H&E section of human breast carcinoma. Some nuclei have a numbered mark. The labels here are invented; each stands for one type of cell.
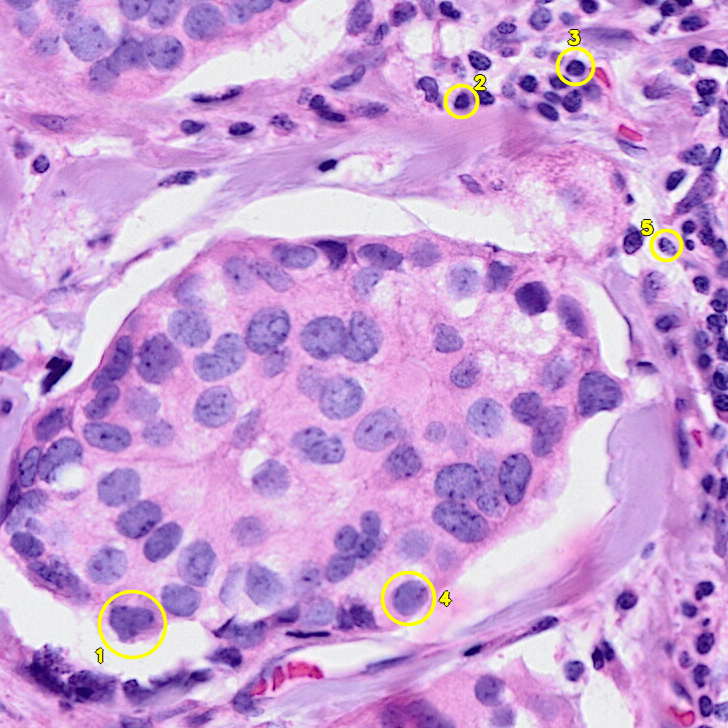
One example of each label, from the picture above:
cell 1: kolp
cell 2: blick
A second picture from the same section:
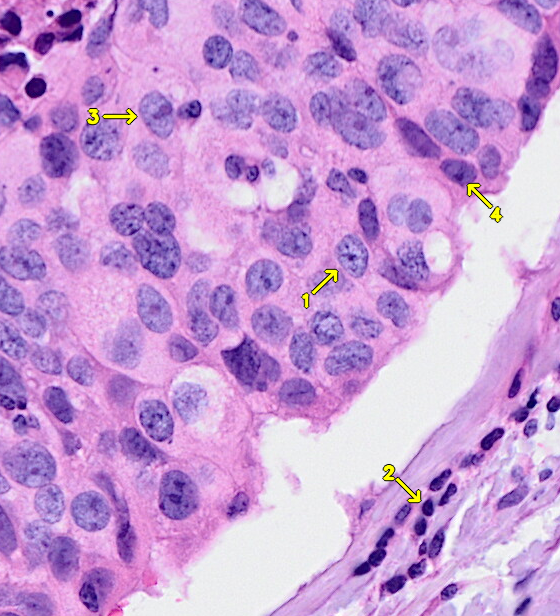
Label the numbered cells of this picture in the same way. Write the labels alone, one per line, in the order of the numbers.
kolp
blick
kolp
kolp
